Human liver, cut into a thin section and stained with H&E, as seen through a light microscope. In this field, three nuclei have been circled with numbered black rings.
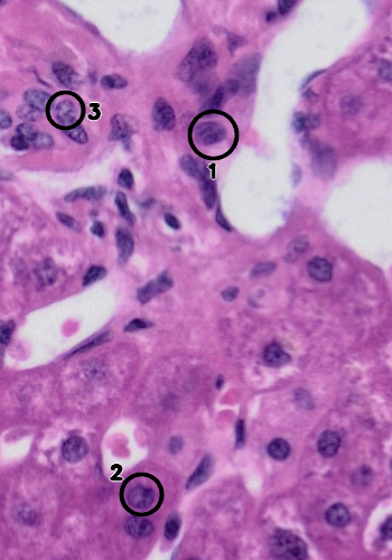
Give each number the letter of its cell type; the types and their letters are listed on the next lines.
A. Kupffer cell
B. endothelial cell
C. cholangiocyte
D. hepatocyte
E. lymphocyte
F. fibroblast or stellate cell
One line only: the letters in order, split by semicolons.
F; D; C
